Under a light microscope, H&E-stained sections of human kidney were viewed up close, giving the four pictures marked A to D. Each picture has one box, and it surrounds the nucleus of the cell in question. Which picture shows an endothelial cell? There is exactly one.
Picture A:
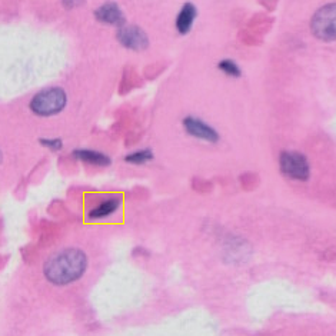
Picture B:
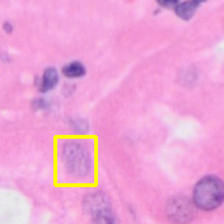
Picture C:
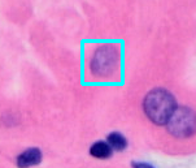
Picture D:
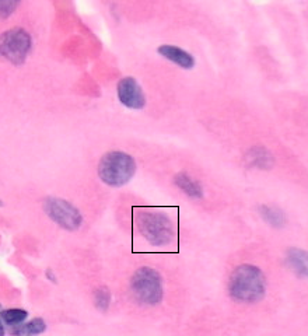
A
